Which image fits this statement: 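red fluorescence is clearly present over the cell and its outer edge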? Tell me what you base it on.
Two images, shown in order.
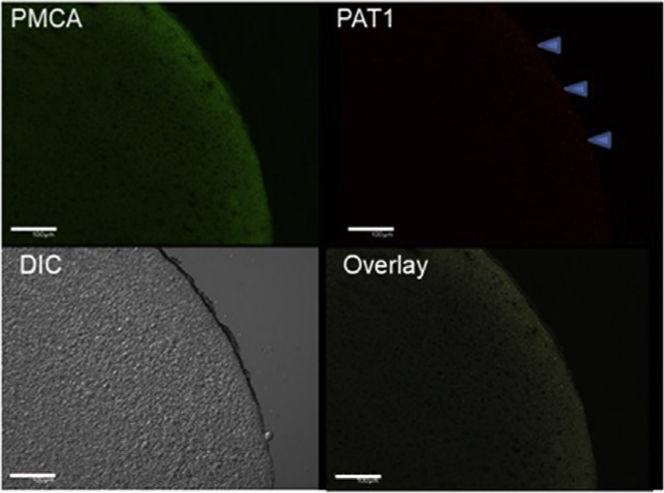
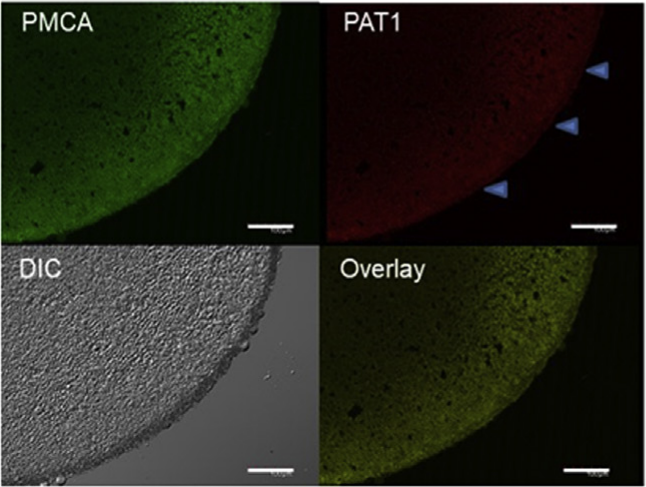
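The second image. First image: the red channel is nearly black, with only a faint glow at the cell edge. Second image: the red channel shows clear red fluorescence over the cell, brightest toward its edge.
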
